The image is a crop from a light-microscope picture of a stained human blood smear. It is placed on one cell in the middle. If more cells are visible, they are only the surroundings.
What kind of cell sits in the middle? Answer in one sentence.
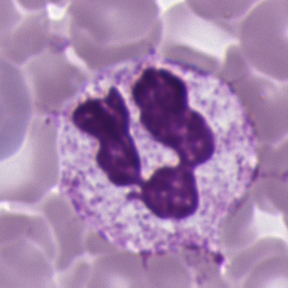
What the crop centres on is a segmented neutrophil.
